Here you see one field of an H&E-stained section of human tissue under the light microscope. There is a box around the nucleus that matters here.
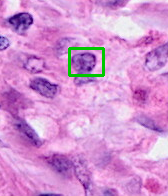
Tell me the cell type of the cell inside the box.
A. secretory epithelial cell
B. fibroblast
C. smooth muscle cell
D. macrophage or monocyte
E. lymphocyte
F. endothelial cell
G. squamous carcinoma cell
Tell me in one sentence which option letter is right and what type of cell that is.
It is as option D has it, the cell inside the box being a macrophage or monocyte.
